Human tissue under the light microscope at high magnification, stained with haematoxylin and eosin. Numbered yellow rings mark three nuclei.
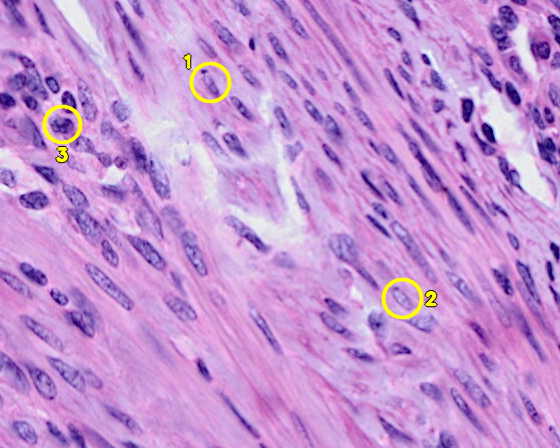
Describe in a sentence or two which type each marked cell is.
Cells 1 and 2 are smooth muscle cells. Cell 3 is a lymphocyte.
